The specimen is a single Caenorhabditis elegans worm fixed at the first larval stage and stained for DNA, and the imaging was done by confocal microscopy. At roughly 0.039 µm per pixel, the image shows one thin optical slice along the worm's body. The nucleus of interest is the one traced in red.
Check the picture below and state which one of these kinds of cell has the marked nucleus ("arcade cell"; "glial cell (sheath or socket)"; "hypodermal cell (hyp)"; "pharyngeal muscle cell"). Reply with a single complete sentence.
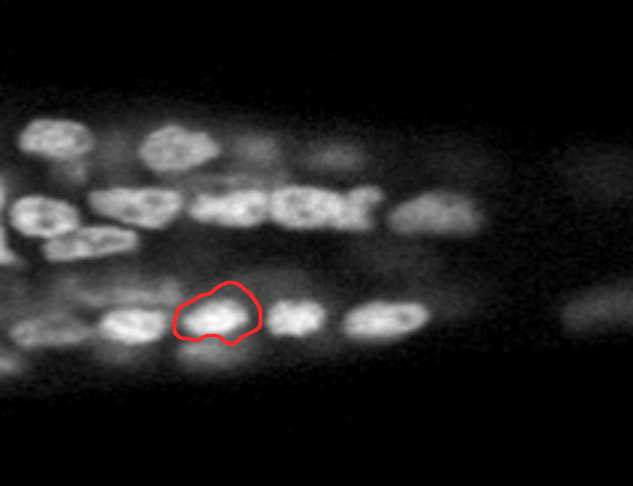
The marked cell is a glial cell (sheath or socket).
